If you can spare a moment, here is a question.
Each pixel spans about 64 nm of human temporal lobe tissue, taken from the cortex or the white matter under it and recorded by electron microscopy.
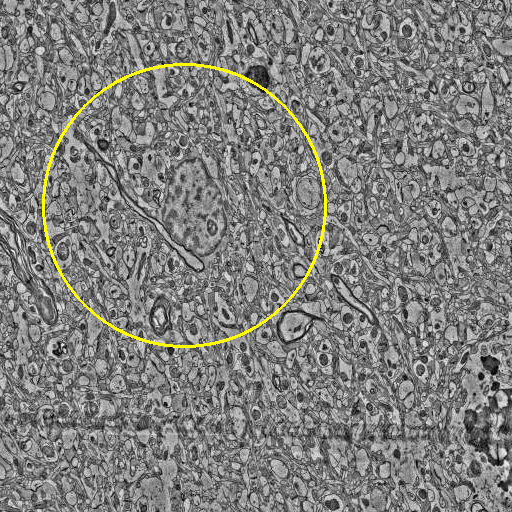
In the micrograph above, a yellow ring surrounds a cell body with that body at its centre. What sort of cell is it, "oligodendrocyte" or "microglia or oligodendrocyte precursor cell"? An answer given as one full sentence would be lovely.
Centred inside the yellow ring, the cell body shown belongs to an oligodendrocyte in this micrograph.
